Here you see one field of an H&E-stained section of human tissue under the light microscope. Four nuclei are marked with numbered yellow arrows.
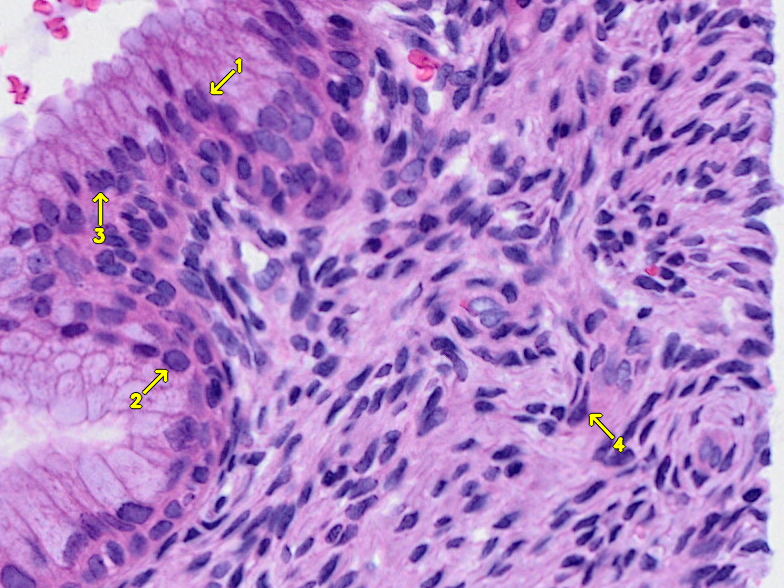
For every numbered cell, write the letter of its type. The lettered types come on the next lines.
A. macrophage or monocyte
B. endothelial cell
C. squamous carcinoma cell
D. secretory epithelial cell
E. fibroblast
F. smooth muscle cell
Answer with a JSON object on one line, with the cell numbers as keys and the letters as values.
{"1": "D", "2": "D", "3": "D", "4": "E"}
